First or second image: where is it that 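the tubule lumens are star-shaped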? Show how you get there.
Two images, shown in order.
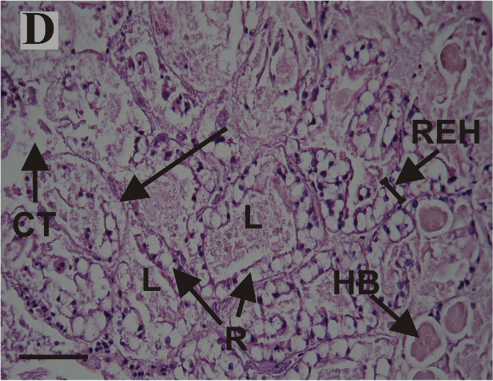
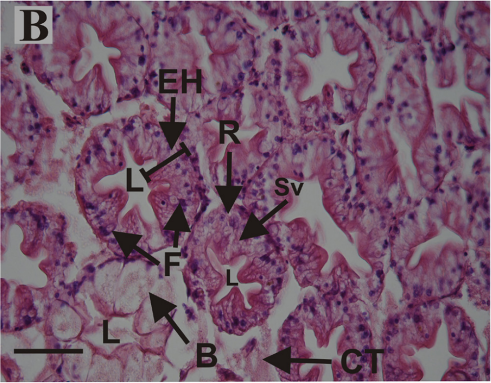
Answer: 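The second image. First image: tubule lumens are irregular and rounded, some filled with pink material. Second image: tubule lumens are narrow and star-shaped with several radiating arms.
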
